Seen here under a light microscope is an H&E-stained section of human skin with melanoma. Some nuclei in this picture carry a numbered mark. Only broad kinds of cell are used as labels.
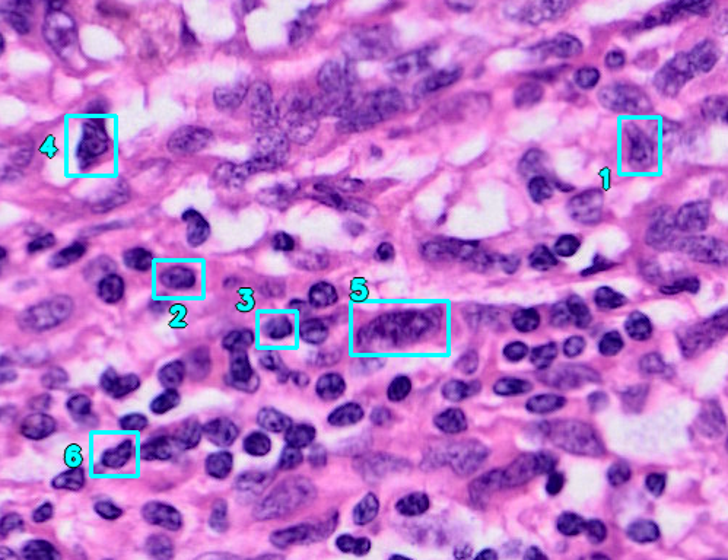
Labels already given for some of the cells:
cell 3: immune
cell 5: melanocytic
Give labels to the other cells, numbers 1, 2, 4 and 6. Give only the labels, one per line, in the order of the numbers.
melanocytic
immune
melanocytic
immune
